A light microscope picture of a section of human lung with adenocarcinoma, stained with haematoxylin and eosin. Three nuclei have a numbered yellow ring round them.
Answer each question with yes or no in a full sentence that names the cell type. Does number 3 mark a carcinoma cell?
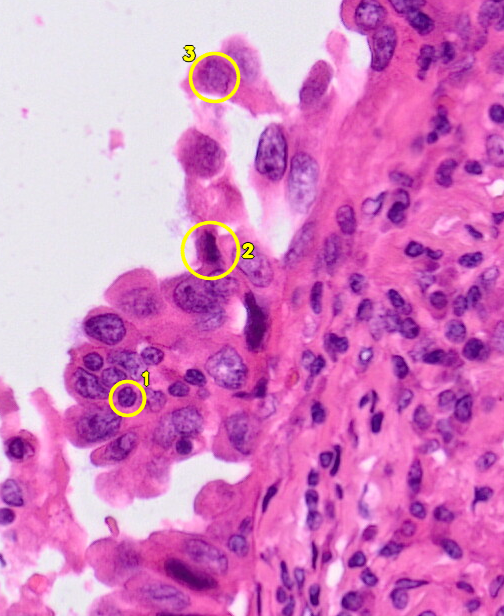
Yes, of the numbered cells, number 3 is a carcinoma cell.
